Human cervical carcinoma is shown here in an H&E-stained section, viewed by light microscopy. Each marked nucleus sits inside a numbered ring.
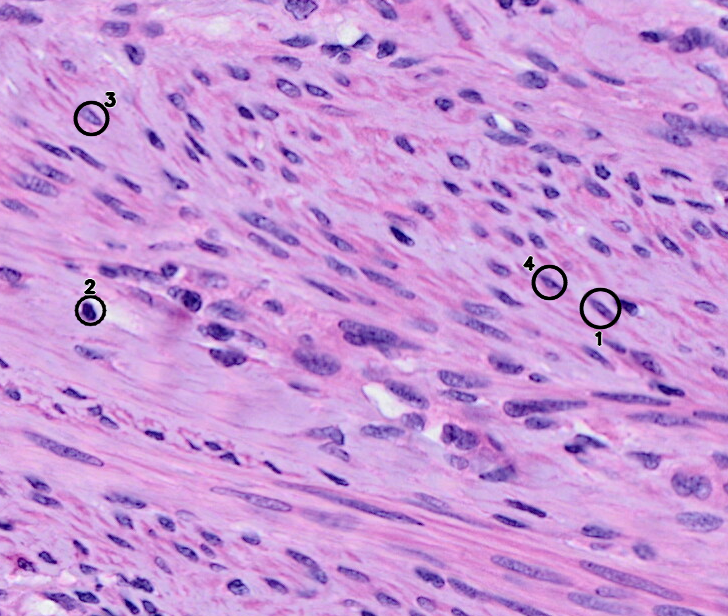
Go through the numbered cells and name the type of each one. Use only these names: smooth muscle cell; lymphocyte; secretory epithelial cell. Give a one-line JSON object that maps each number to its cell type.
{"1": "smooth muscle cell", "2": "lymphocyte", "3": "smooth muscle cell", "4": "smooth muscle cell"}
